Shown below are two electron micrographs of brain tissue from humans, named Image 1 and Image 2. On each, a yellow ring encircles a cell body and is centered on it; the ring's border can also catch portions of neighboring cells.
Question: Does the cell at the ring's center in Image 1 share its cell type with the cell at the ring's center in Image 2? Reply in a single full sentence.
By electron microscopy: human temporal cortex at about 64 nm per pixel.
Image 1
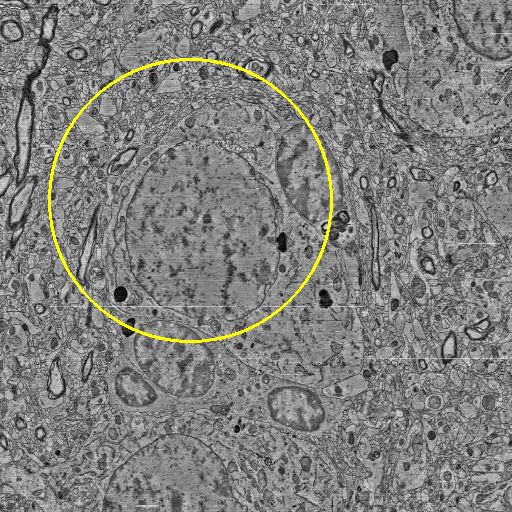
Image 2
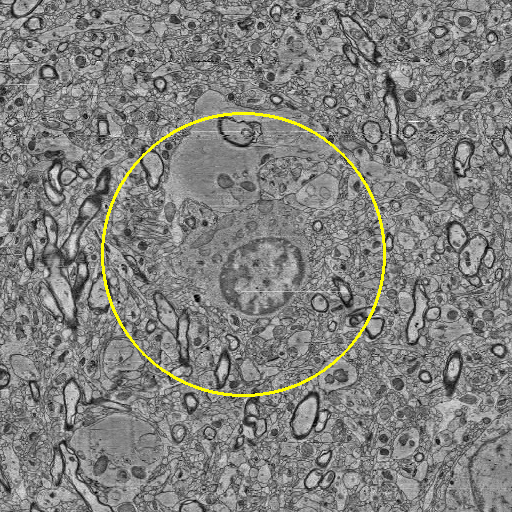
No, the two cells at the ring centers, in Image 1 and Image 2, are of two cell types.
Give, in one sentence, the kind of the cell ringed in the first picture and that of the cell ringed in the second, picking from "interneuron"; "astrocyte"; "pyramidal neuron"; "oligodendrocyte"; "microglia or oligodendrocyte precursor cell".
For the first picture it is a pyramidal neuron; for the second, an oligodendrocyte.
